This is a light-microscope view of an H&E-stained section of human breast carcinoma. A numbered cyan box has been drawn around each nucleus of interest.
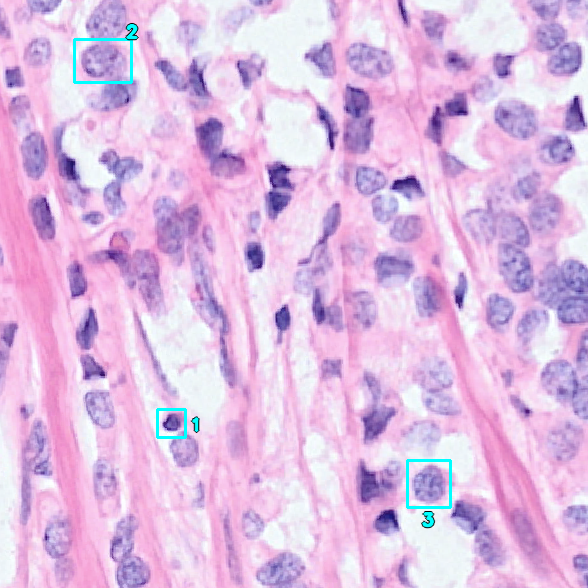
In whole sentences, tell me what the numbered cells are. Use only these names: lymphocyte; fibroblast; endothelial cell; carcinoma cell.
Cell 1 is a lymphocyte. Cells 2 and 3 are carcinoma cells.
